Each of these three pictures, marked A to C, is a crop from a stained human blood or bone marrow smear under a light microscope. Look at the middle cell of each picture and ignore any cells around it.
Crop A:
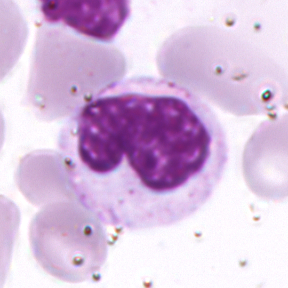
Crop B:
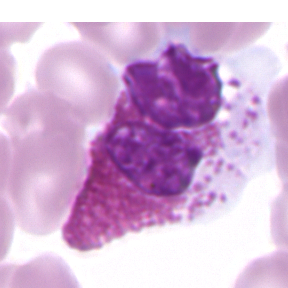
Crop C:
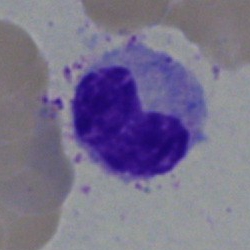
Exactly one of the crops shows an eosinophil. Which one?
B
